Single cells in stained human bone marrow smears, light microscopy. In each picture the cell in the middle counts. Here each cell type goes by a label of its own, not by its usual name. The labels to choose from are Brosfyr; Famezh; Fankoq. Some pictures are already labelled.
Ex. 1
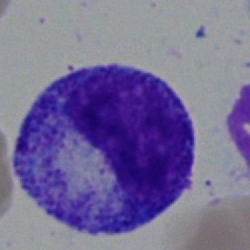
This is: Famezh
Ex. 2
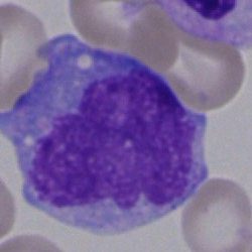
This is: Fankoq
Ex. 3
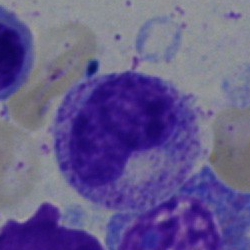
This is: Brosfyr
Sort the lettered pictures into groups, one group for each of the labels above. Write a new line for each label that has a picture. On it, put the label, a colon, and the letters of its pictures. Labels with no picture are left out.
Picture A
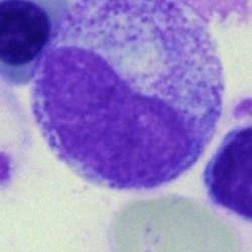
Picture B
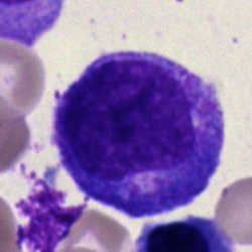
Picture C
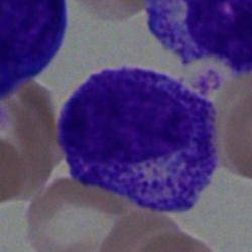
Brosfyr: A
Famezh: B, C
